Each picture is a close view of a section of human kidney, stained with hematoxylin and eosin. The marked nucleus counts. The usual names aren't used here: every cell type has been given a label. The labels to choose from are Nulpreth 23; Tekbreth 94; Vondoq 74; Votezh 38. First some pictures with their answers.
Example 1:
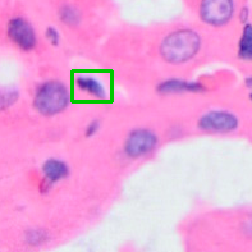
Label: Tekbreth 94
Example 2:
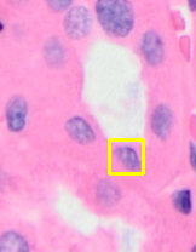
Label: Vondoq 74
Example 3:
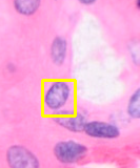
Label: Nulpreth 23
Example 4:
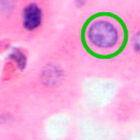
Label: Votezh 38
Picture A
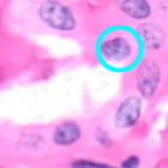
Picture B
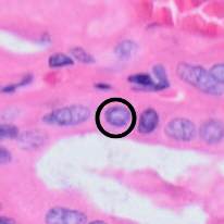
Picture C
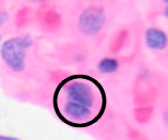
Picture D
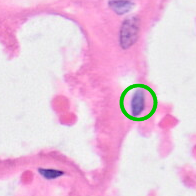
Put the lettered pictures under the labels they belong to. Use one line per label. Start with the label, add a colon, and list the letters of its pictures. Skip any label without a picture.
Nulpreth 23: A, B
Tekbreth 94: C, D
